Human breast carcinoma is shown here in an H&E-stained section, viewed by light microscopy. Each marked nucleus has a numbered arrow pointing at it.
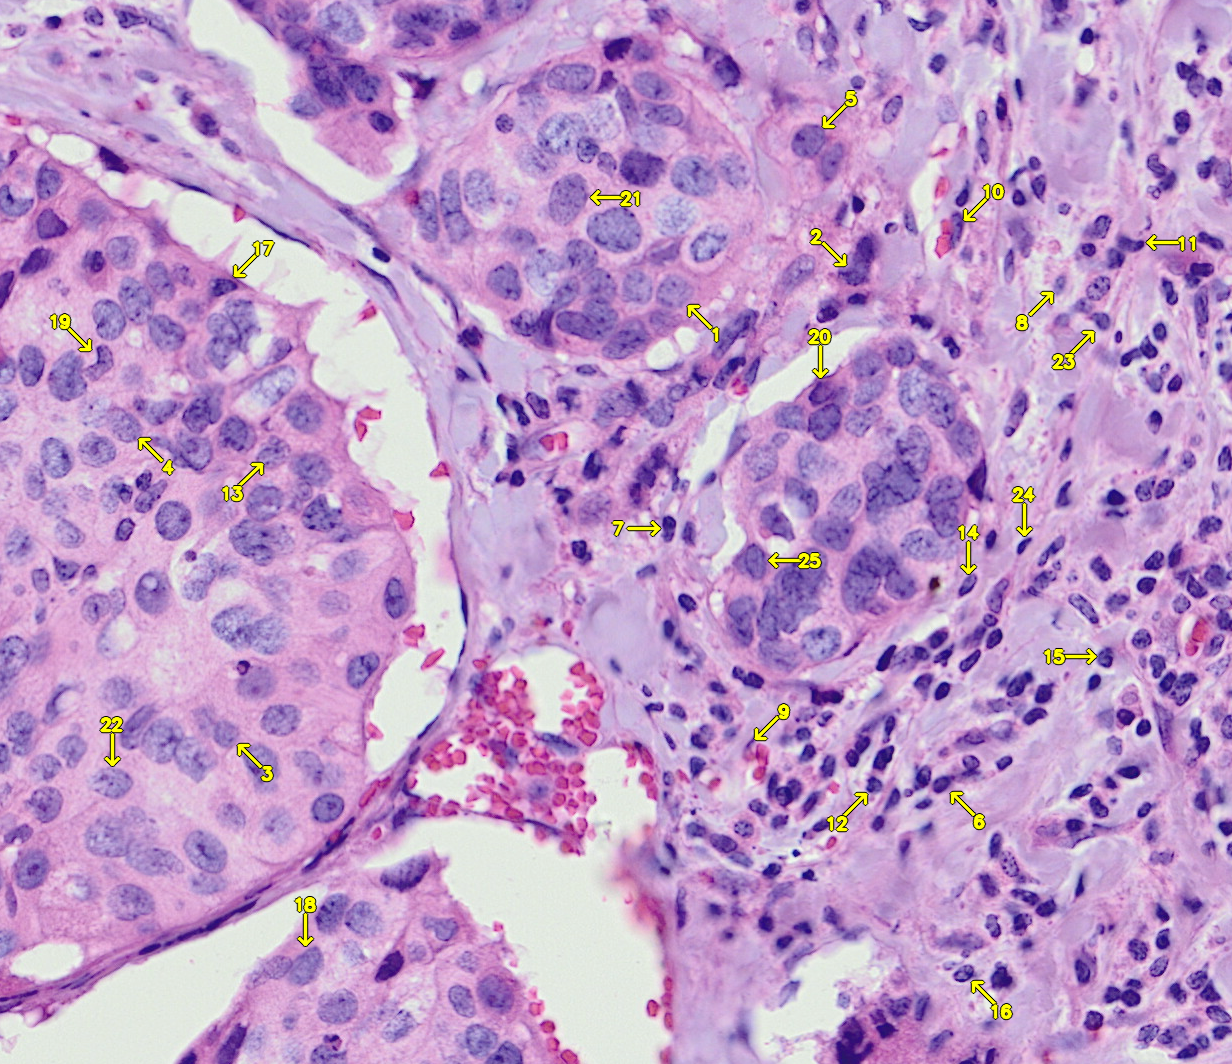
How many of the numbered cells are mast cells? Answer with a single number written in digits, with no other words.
1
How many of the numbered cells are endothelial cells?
2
